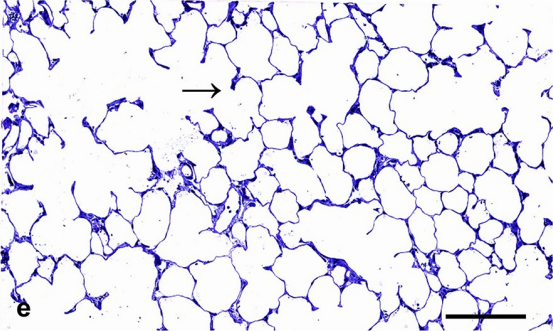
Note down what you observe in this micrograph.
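This is mature lung tissue, a fine meshwork of many small, polygonal air spaces, the alveoli. The walls between them, the alveolar septa, are thin blue lines with only small thickenings where several walls meet. Nuclei sit as small dark dots at these junctions and along the walls. The alveoli are fairly even in size and packed closely, with a few larger open spaces among them. Compared with immature lung, the tissue is delicate and mostly air.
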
